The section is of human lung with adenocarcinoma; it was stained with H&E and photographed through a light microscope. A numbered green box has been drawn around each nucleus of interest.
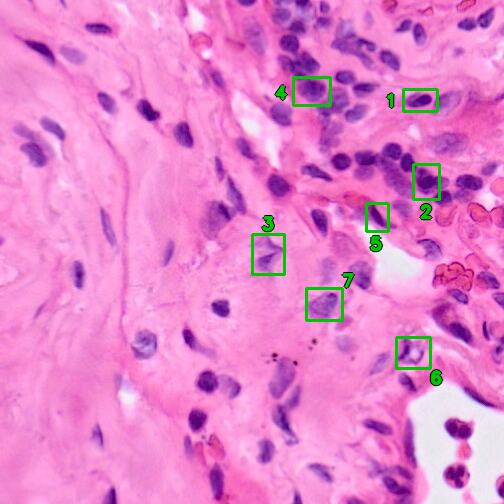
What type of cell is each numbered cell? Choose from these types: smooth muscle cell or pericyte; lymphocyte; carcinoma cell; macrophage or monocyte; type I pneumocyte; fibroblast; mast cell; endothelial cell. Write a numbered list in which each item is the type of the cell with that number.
1. lymphocyte
2. lymphocyte
3. fibroblast
4. lymphocyte
5. endothelial cell
6. fibroblast
7. fibroblast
